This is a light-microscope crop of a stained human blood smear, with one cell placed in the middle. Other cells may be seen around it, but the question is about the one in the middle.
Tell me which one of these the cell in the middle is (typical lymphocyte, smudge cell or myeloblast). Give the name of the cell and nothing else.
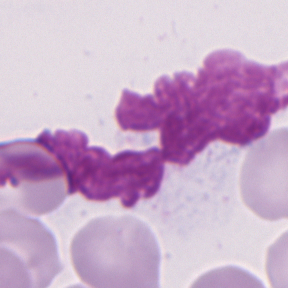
smudge cell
